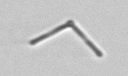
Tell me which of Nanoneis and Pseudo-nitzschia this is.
The picture shows Nanoneis.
